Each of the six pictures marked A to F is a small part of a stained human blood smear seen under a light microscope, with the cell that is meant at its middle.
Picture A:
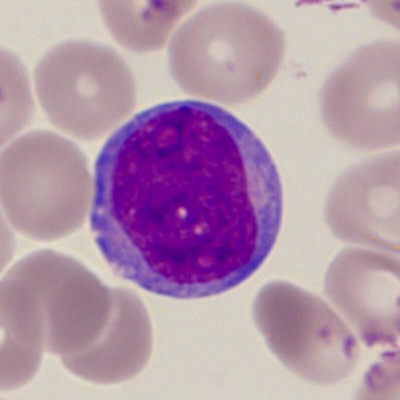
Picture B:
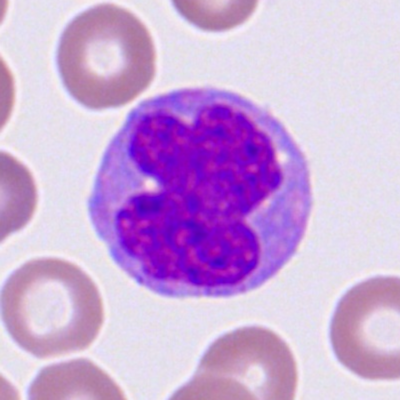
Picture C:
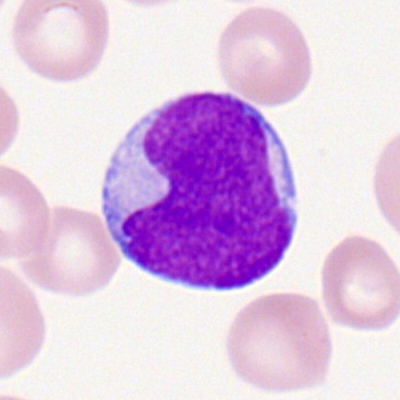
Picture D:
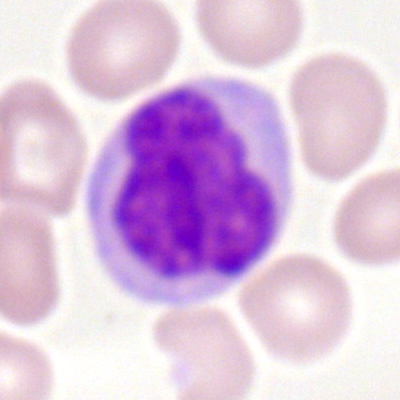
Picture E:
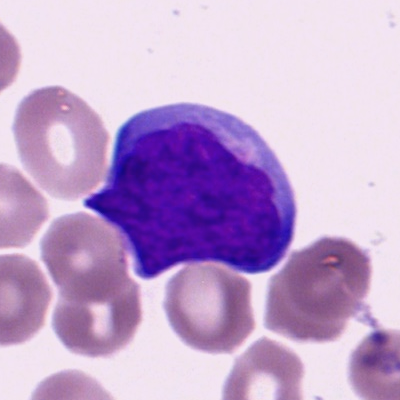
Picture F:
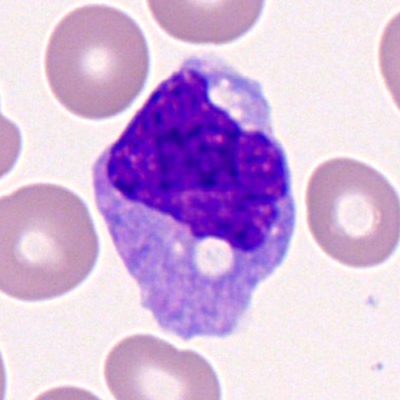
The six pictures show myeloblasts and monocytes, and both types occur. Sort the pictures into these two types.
A: myeloblast
B: monocyte
C: myeloblast
D: monocyte
E: myeloblast
F: monocyte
